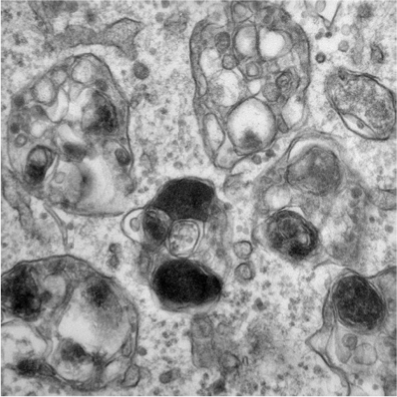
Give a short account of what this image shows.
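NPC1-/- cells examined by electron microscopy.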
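High-magnification transmission electron micrograph of cytoplasm. Several membrane-bound vacuoles of varied size fill the field. They contain heterogeneous contents: dark electron-dense material, lighter granular matter and concentric membrane whorls. Some vacuoles hold smaller internal vesicles. The surrounding cytoplasm is finely granular.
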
